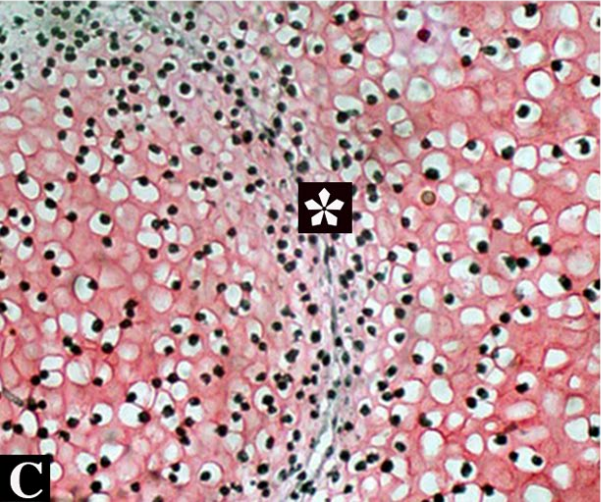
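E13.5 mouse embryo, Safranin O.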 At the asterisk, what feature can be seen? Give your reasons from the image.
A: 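Interzone. A band of small, densely packed, flattened cells runs through the middle of the field. This band has less red matrix than the tissue on either side. Rounded cells in pale lacunae with red matrix lie on both sides of the band.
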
